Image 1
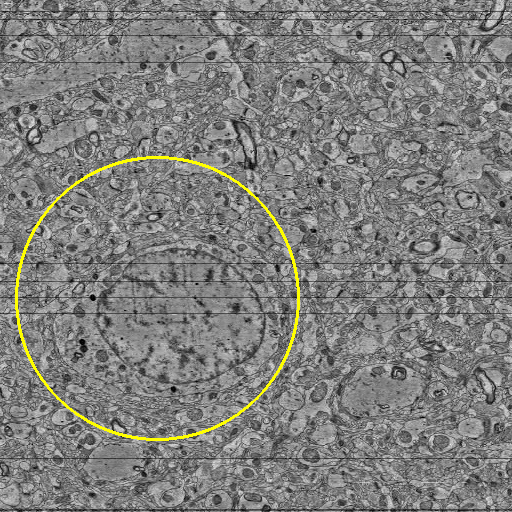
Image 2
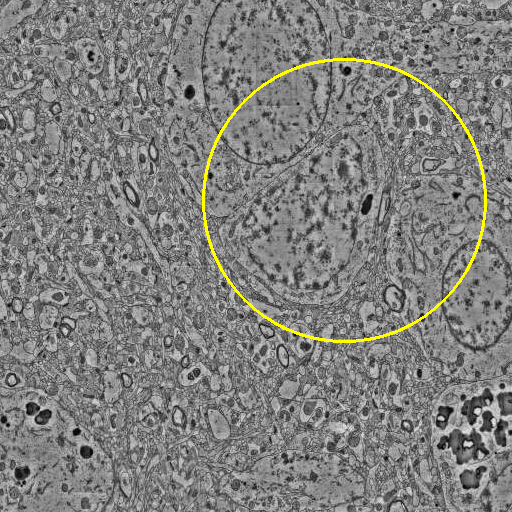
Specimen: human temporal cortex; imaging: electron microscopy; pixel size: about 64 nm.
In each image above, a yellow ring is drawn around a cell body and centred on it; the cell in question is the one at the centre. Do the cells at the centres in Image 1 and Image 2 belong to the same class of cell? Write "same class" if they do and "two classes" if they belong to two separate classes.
two classes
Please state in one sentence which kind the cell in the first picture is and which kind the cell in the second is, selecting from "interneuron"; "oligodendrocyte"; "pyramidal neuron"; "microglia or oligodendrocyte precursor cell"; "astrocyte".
The first ringed cell is a pyramidal neuron, the second ringed cell an interneuron.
